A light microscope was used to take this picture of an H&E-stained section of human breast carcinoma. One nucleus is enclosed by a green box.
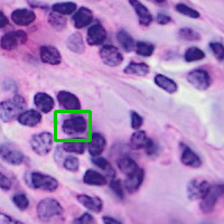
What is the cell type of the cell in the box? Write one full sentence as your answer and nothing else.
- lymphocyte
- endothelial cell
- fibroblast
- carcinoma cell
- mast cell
In this preparation, the cell in the box is a lymphocyte.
